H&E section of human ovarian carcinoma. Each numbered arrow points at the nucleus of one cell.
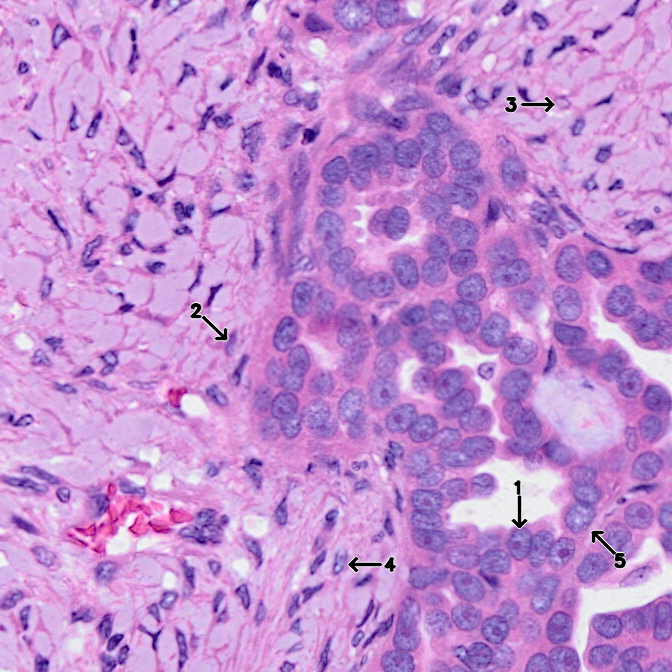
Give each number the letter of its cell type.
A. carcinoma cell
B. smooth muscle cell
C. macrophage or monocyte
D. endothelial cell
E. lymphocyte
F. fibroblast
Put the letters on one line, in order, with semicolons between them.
A; F; F; F; A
